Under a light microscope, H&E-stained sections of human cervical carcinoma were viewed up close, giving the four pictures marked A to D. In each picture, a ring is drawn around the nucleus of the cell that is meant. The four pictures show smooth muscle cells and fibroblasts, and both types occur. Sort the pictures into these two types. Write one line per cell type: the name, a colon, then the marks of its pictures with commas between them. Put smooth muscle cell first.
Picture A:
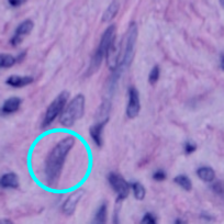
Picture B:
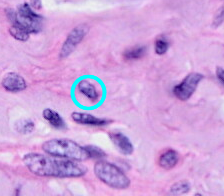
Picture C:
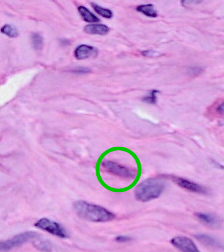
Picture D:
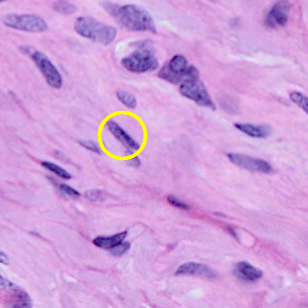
smooth muscle cell: A, B, C
fibroblast: D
